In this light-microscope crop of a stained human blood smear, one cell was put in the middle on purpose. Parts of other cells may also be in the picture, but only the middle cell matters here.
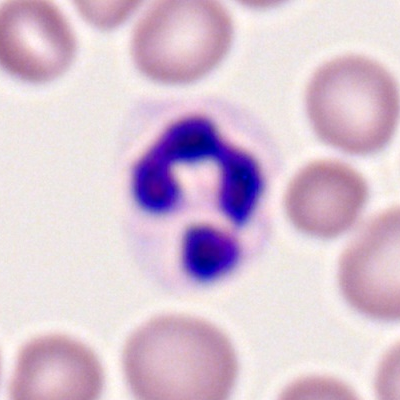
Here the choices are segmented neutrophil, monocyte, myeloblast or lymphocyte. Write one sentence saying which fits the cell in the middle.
The central cell, amid any neighbouring cells, is a segmented neutrophil.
